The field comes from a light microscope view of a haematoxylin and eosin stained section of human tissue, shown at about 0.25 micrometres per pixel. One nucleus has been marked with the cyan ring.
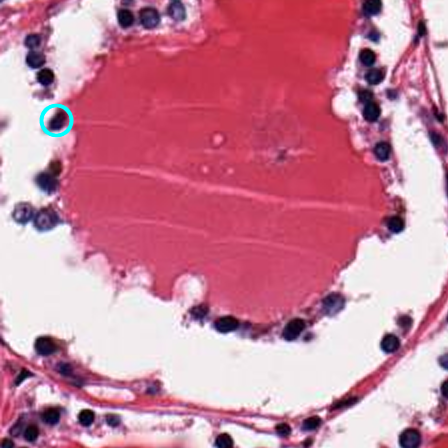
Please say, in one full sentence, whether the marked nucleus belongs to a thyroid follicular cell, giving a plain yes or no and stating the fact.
Yes, it is the nucleus of a thyroid follicular cell that has been marked.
